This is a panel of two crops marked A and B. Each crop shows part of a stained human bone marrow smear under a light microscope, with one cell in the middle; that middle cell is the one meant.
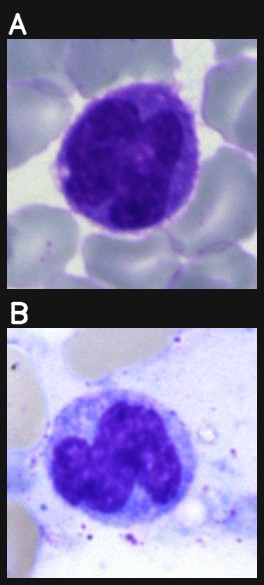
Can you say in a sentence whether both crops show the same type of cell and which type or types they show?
Yes, the cells centred in the two crops are both monocytes.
